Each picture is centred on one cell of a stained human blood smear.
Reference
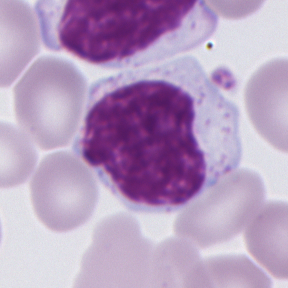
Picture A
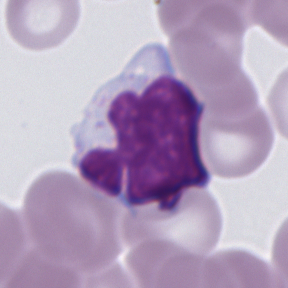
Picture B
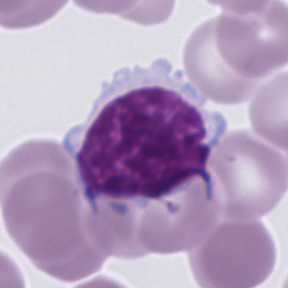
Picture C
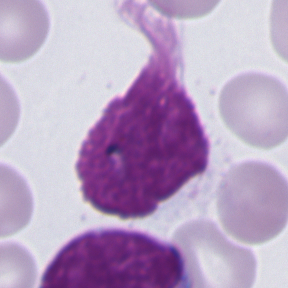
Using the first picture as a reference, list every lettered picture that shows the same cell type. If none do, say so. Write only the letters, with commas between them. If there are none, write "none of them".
A, B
